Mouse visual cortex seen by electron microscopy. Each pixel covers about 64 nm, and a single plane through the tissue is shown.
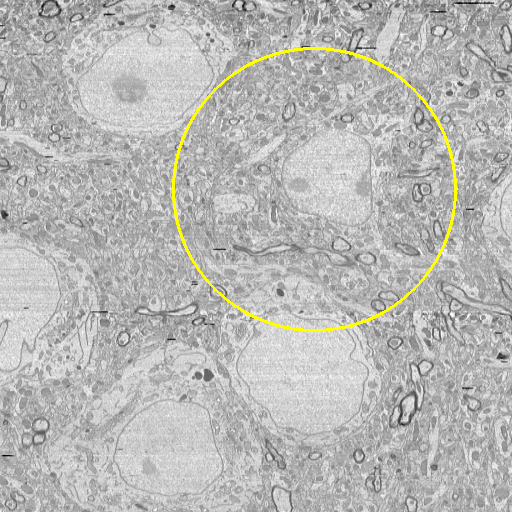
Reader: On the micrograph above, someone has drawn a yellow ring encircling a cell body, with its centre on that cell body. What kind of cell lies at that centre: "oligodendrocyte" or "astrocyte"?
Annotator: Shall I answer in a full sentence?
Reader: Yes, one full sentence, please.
Here an astrocyte sits at the centre of the yellow ring drawn on the micrograph.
